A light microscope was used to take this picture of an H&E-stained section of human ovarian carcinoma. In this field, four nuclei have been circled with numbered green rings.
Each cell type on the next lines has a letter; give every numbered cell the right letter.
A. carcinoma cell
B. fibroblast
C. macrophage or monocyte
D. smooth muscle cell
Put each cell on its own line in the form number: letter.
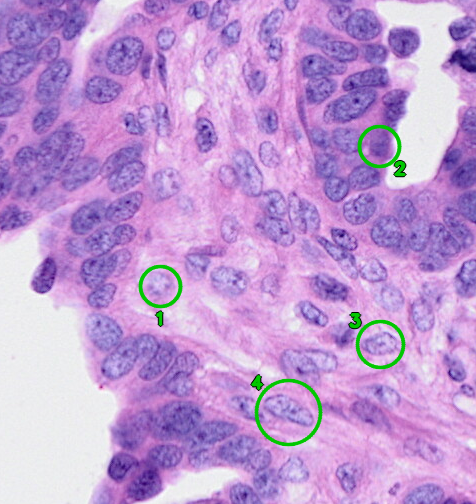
1: B
2: A
3: B
4: B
